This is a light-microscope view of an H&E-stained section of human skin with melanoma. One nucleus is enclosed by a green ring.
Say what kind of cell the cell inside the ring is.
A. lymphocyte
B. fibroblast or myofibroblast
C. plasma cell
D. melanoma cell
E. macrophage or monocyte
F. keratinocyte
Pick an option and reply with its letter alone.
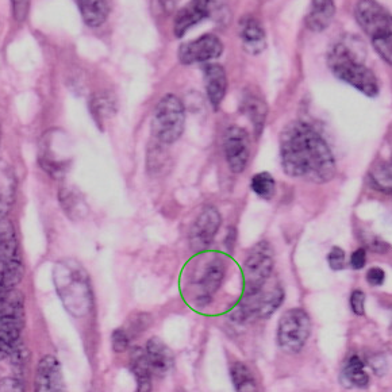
D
